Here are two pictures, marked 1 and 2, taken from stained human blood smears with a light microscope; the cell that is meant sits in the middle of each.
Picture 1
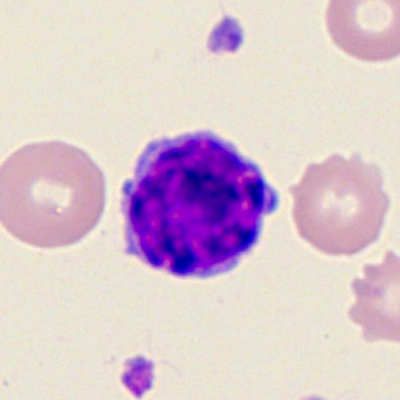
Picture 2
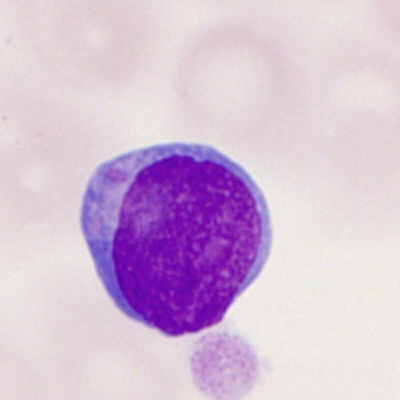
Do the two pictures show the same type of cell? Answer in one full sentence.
No, the types are not the same, since picture 1 shows a lymphocyte and picture 2 a myeloblast.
